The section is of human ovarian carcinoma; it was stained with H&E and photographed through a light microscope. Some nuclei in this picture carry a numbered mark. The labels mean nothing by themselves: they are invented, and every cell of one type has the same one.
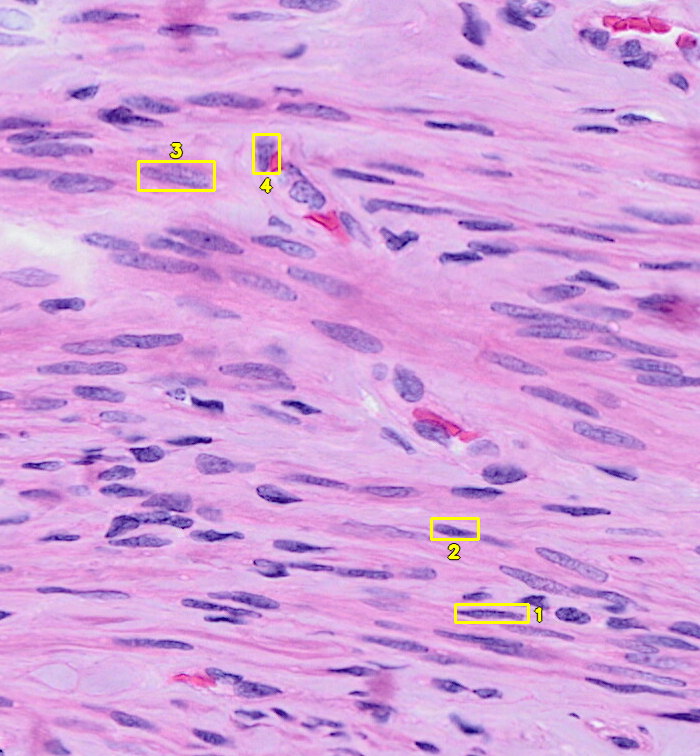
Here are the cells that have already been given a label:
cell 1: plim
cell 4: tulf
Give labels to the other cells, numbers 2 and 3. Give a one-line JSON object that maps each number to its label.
{"2": "plim", "3": "plim"}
